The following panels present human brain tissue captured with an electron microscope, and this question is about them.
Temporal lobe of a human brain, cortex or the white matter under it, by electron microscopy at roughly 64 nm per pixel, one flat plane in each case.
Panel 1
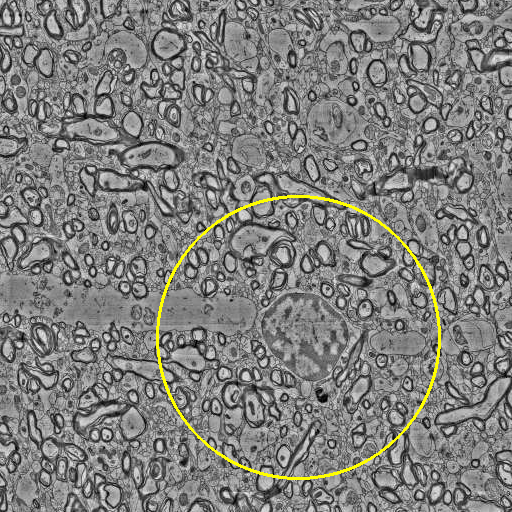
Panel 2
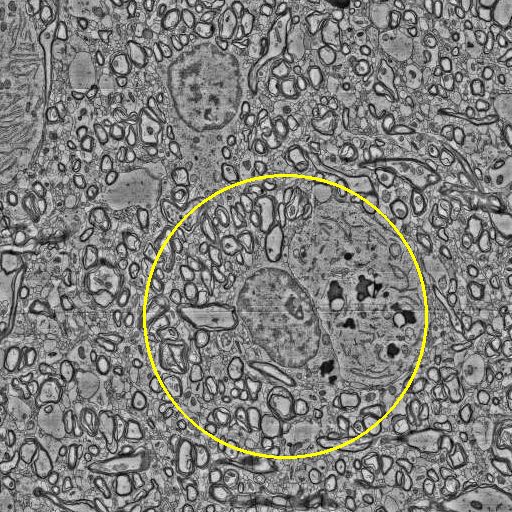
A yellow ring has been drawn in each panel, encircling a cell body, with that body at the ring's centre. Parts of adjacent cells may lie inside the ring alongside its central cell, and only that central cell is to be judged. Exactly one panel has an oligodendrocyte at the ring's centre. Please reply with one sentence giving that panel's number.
The ring whose central cell fits the description is the one in panel 2.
